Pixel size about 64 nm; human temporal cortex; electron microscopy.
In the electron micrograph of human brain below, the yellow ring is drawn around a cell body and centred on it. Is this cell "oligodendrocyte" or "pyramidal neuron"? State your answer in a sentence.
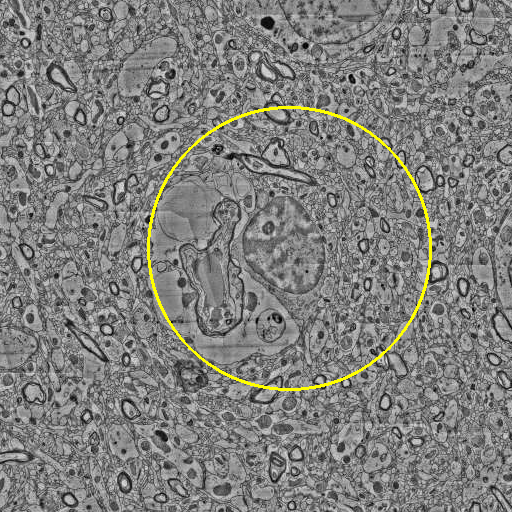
The cell in the middle of the ring is an oligodendrocyte.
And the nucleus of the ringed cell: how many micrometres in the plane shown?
The ringed cell's nucleus is about 6 micrometres long and 5 micrometres wide in this plane.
